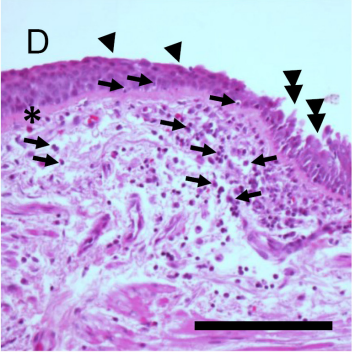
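This is an airway lining with its epithelium on top and loose connective tissue below, heavily infiltrated by immune cells. Many small cells with dark, round purple nuclei are packed into the pink tissue beneath the epithelium, and some lie within the epithelium itself. A broad pale pink band runs just under the epithelium, a markedly thickened basement membrane. Along the surface the fine fringe of cilia is missing in places, and at the right edge the epithelium looks ragged and damaged.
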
